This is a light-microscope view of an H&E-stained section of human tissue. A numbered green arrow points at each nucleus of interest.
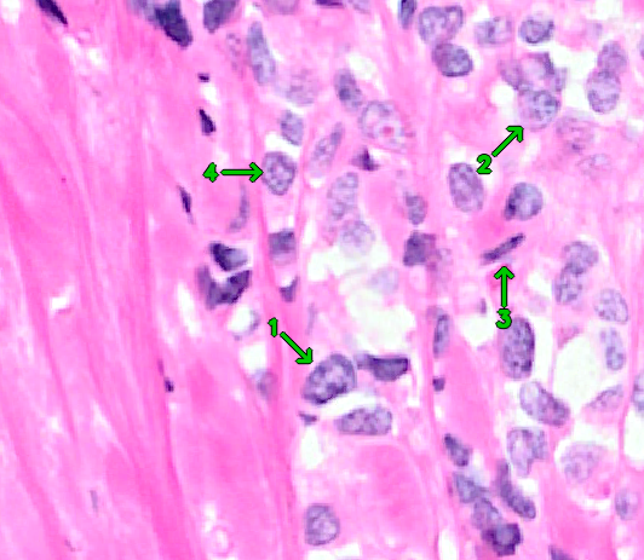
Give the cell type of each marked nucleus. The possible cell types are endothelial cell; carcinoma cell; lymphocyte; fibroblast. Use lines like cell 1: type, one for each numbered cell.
cell 1: carcinoma cell
cell 2: carcinoma cell
cell 3: endothelial cell
cell 4: carcinoma cell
